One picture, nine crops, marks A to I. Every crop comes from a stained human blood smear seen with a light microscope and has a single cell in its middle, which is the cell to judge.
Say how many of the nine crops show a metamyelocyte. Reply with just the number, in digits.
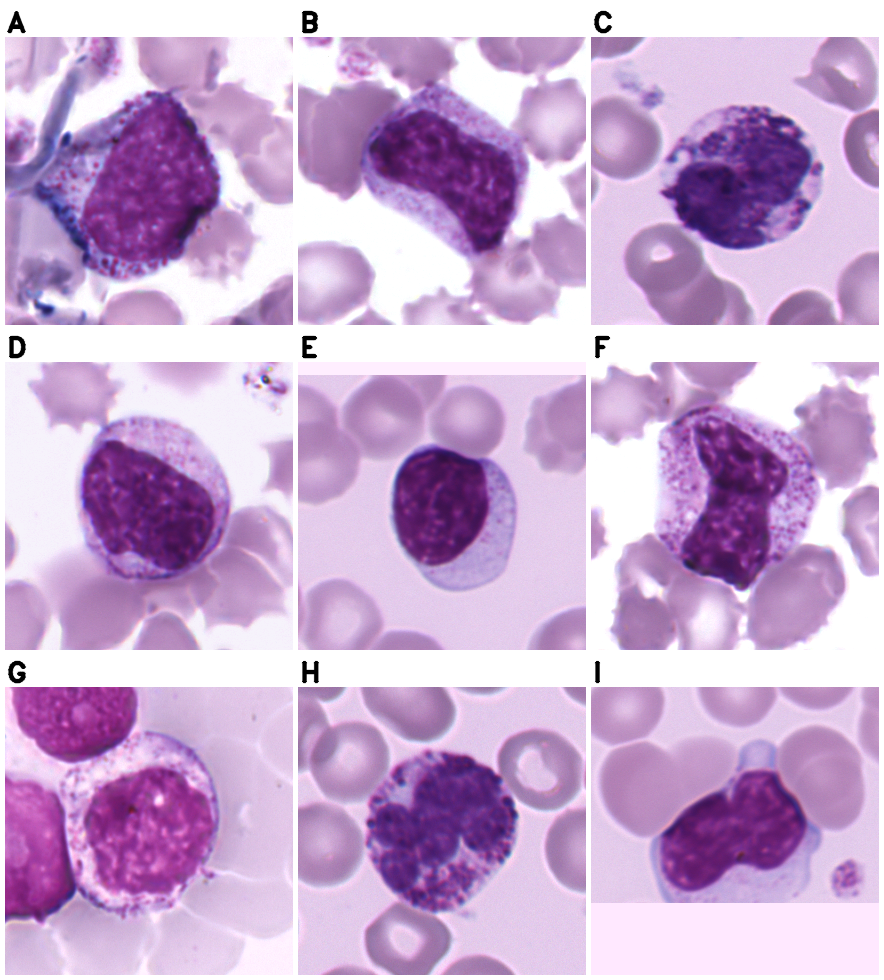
3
